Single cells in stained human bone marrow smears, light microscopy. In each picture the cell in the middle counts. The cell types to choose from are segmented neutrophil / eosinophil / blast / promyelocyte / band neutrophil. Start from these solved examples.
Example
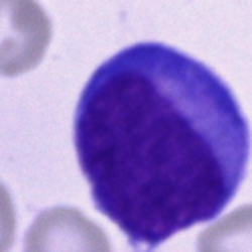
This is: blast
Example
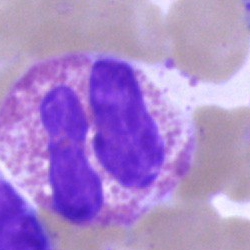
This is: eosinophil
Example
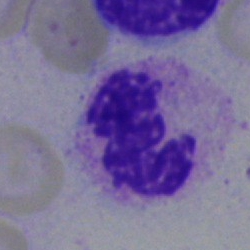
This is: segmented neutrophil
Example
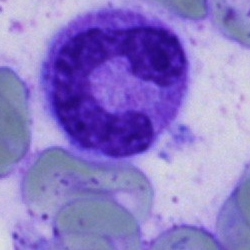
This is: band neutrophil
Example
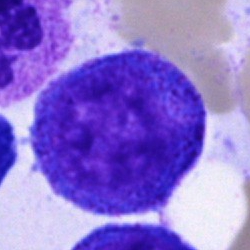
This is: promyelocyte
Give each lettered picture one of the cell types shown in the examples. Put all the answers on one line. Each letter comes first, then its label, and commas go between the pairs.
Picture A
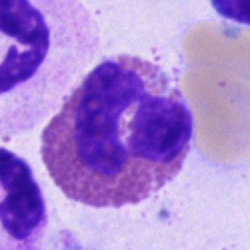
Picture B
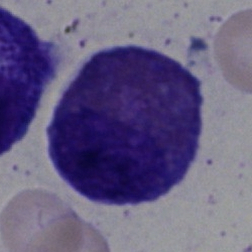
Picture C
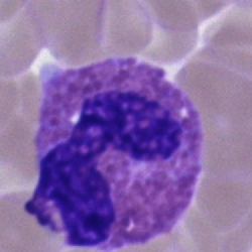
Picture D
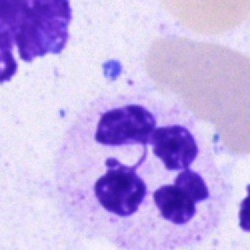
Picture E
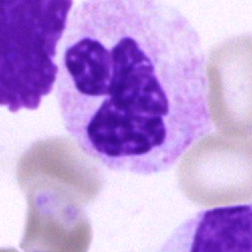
A eosinophil, B eosinophil, C eosinophil, D segmented neutrophil, E segmented neutrophil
